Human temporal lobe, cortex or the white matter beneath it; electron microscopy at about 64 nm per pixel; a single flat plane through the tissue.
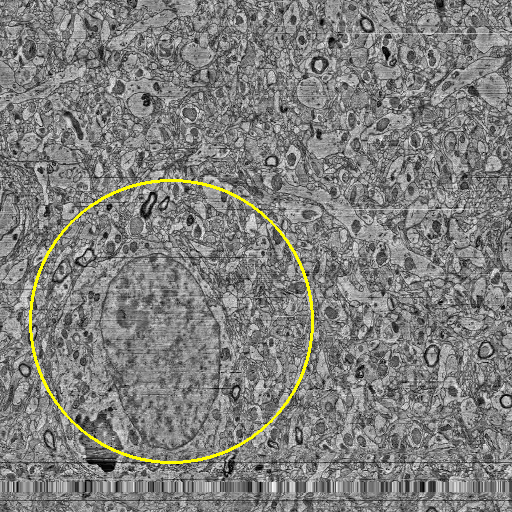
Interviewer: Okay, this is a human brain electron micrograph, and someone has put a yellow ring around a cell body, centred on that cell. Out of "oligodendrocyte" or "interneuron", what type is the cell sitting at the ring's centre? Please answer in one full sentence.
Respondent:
The cell at the centre of the yellow ring in this picture is an interneuron.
